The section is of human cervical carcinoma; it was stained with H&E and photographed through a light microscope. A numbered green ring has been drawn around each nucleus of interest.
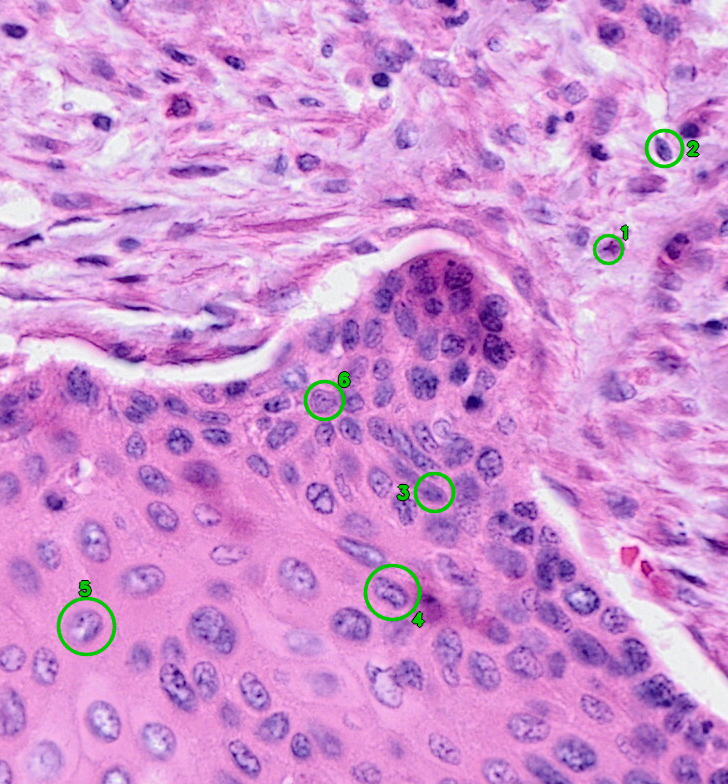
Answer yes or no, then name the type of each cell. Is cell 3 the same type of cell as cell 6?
Yes, cell 3 is one of the squamous carcinoma cells, and so is cell 6.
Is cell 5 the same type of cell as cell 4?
Yes, each of the two cells, 5 and 4, is among the squamous carcinoma cells.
